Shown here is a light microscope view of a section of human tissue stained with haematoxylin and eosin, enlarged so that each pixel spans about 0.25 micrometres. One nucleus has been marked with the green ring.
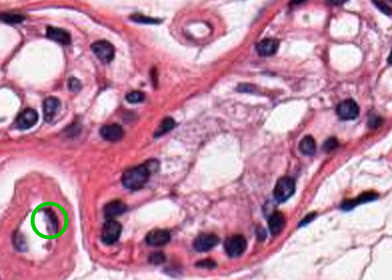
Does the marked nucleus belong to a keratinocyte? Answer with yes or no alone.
no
